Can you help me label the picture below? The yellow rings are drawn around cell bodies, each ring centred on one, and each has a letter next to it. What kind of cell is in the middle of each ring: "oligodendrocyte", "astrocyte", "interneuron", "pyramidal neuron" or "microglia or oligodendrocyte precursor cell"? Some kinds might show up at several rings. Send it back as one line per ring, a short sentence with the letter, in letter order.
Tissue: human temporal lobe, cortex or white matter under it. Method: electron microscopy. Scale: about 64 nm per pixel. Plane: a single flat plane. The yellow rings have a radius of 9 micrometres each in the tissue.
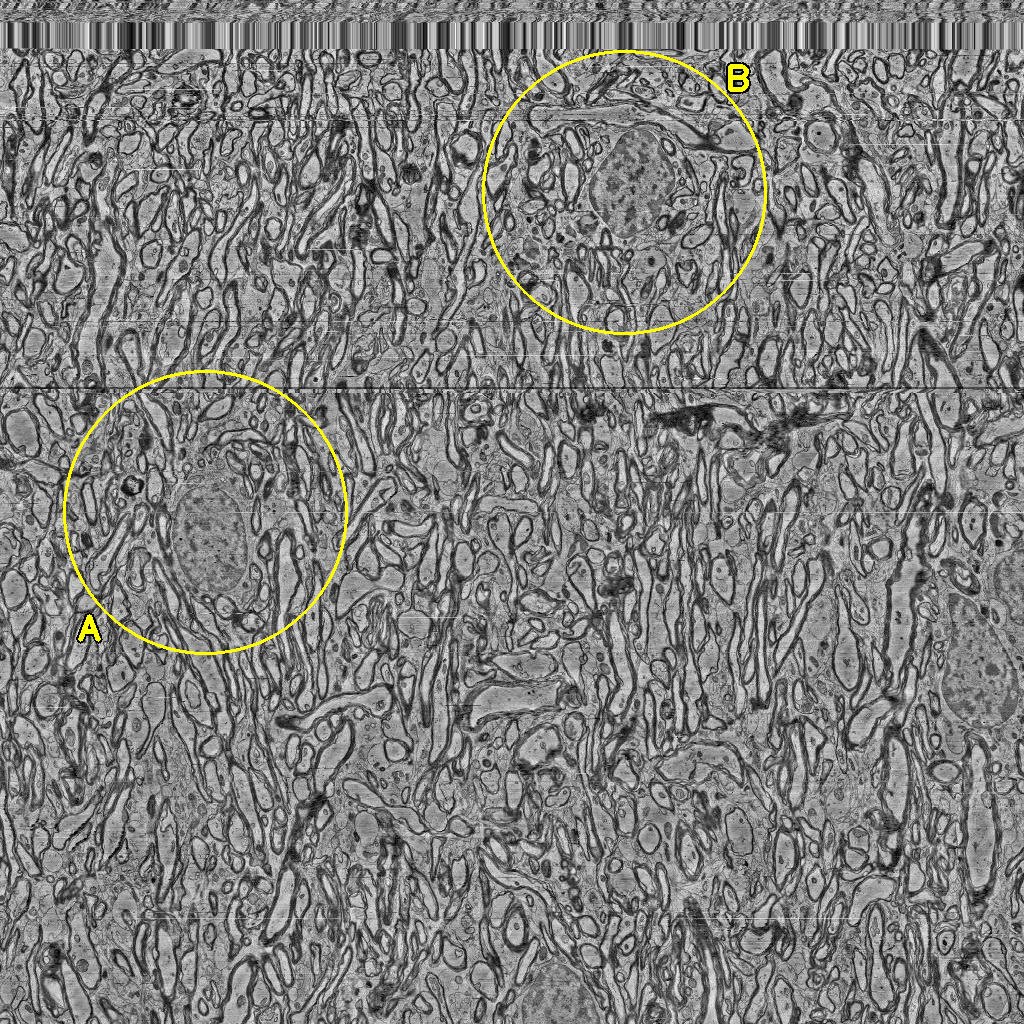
Ring A has an oligodendrocyte in the middle.
Ring B has a microglial cell or oligodendrocyte precursor cell in the middle.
